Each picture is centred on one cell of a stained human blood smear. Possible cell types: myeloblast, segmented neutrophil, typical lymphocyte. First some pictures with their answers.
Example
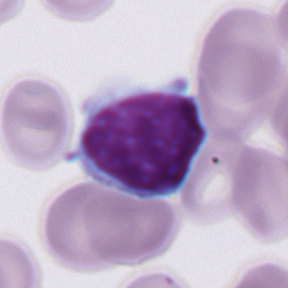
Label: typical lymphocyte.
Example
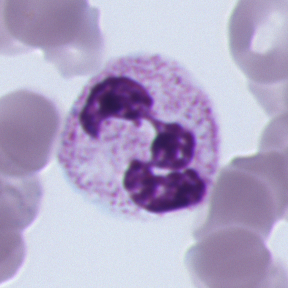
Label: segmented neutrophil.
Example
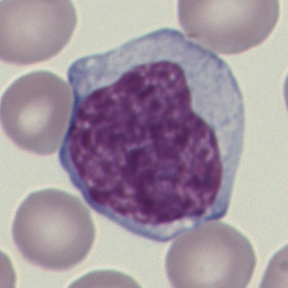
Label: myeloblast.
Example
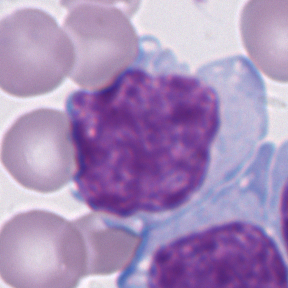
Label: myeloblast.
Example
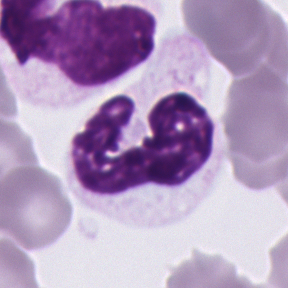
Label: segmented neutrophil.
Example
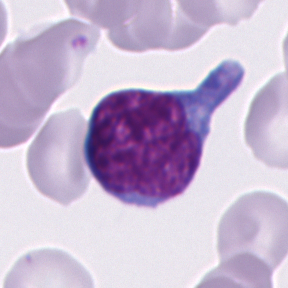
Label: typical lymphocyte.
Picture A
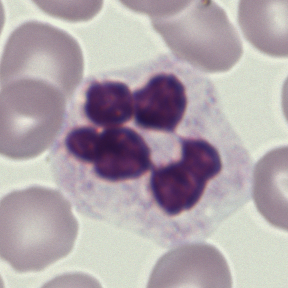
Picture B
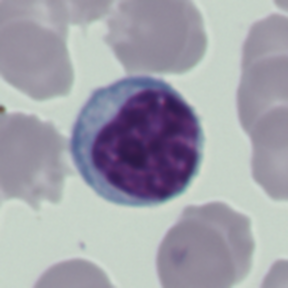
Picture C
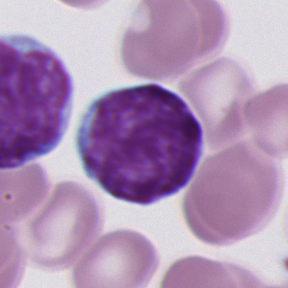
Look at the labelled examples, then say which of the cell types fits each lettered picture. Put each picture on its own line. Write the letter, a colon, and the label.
A: segmented neutrophil.
B: typical lymphocyte.
C: typical lymphocyte.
